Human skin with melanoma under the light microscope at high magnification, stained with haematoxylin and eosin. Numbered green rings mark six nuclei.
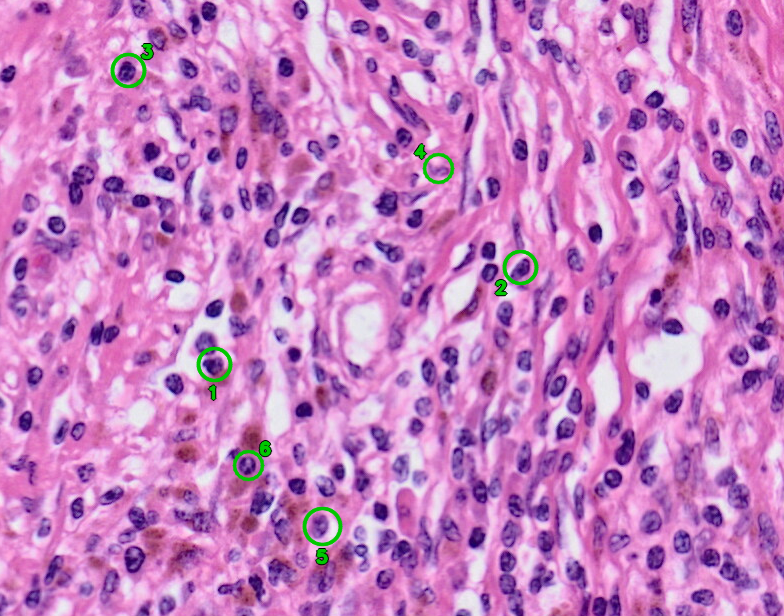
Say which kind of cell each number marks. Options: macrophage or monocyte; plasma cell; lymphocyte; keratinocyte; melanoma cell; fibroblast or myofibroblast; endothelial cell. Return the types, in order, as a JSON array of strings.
["lymphocyte", "lymphocyte", "plasma cell", "fibroblast or myofibroblast", "lymphocyte", "plasma cell"]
